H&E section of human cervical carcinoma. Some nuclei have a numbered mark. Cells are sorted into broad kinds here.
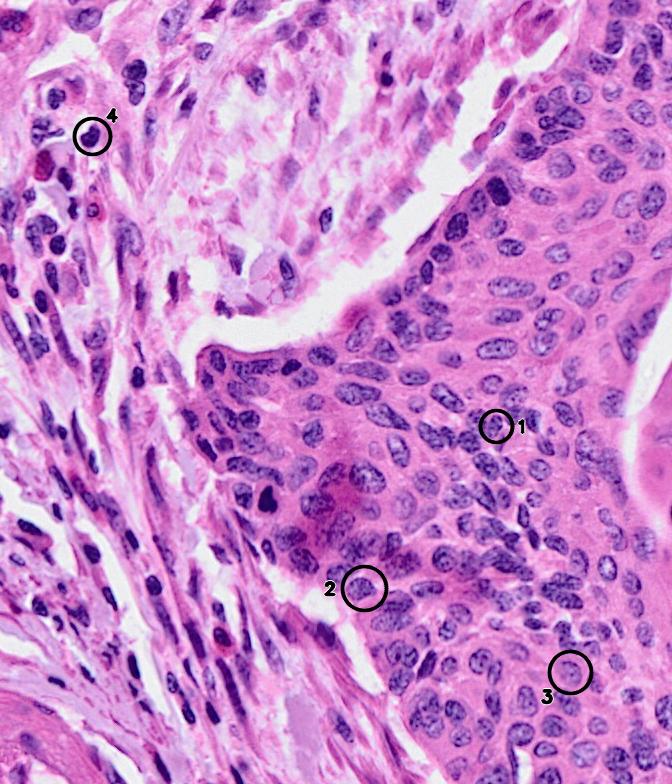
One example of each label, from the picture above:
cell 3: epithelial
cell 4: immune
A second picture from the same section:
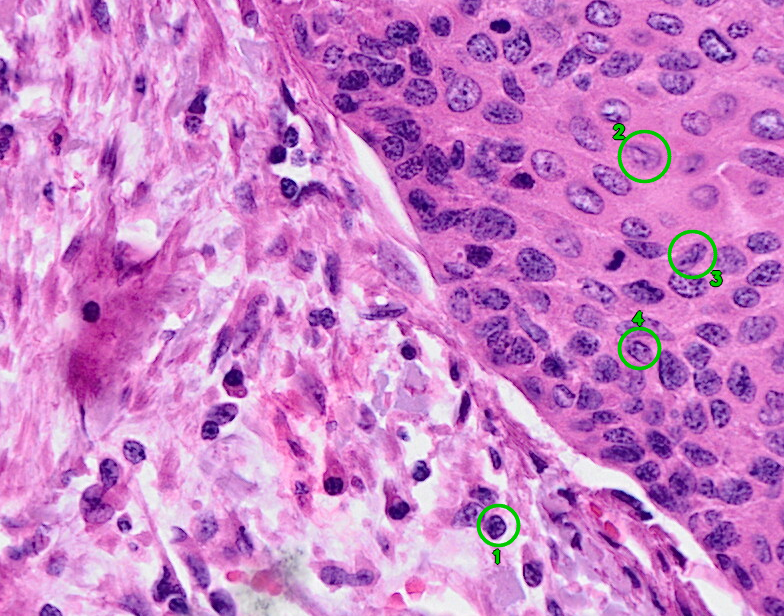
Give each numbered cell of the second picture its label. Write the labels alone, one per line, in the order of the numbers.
immune
epithelial
epithelial
epithelial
